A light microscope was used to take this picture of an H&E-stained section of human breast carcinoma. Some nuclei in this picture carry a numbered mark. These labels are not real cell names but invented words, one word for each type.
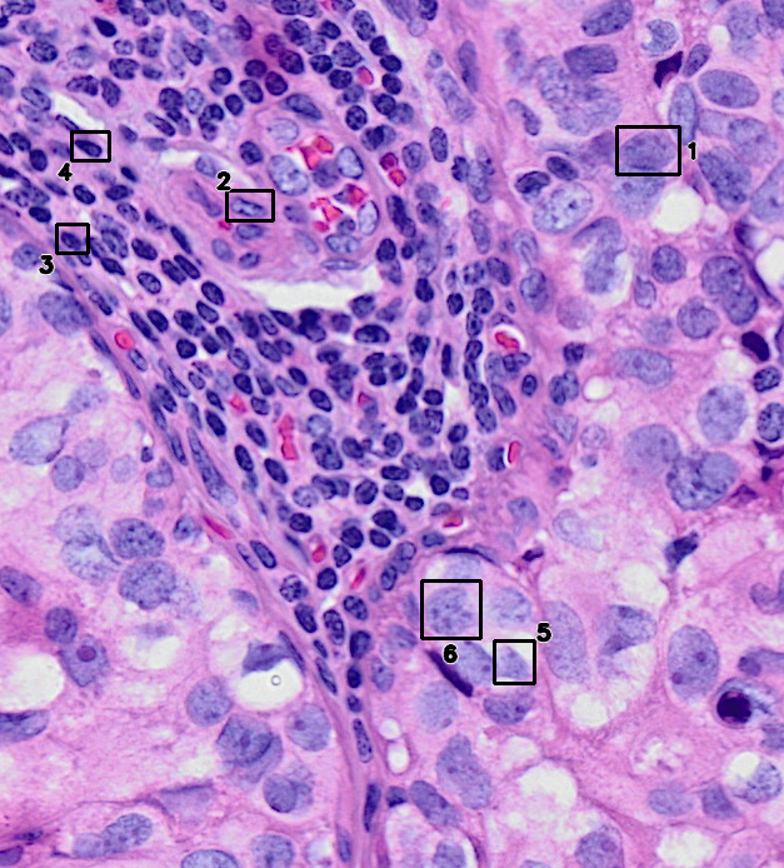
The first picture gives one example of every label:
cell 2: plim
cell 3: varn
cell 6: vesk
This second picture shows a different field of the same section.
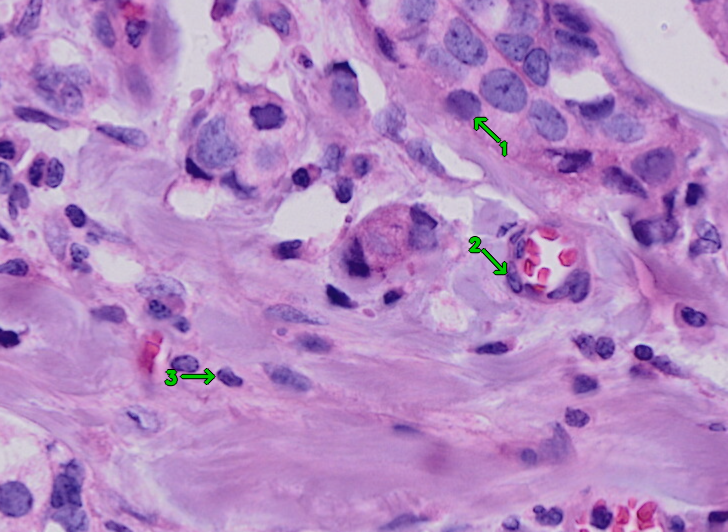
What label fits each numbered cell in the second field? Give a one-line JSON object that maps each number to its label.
{"1": "vesk", "2": "plim", "3": "varn"}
